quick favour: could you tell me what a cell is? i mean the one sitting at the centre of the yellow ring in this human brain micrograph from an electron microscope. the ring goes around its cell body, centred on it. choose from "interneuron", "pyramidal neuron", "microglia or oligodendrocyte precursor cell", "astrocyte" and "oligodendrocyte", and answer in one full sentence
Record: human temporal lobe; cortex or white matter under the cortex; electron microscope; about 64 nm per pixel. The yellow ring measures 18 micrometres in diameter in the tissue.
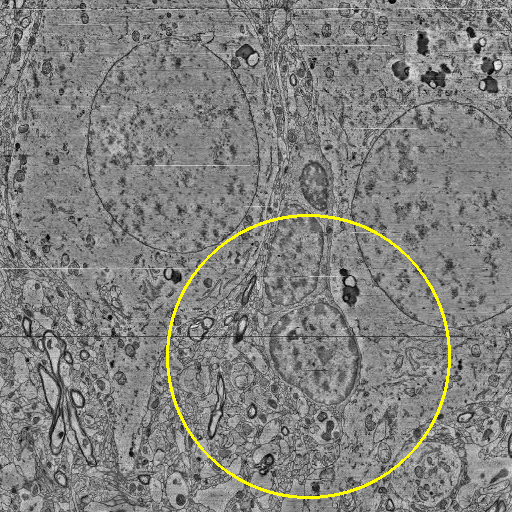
That's an oligodendrocyte, the cell sitting at the centre of the yellow ring.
